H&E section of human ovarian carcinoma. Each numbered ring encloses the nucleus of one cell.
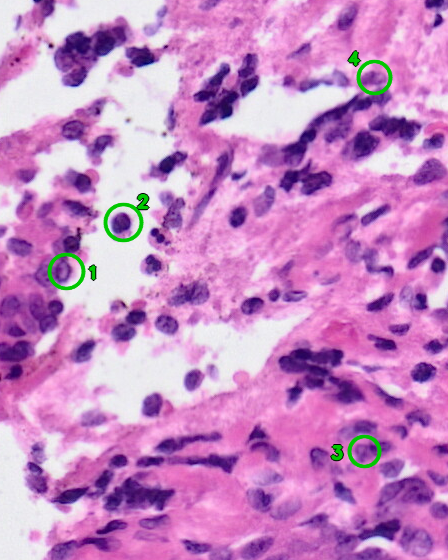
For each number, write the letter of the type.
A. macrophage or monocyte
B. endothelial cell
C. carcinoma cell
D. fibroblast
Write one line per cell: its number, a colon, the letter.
1: A
2: C
3: A
4: A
